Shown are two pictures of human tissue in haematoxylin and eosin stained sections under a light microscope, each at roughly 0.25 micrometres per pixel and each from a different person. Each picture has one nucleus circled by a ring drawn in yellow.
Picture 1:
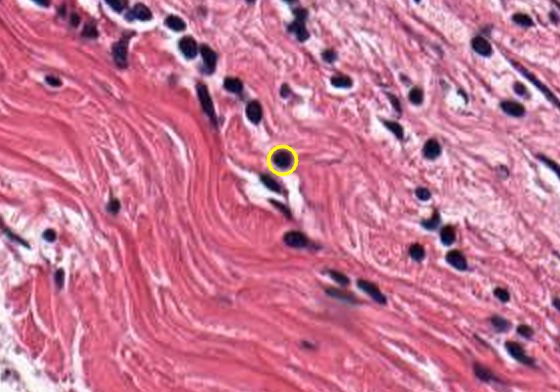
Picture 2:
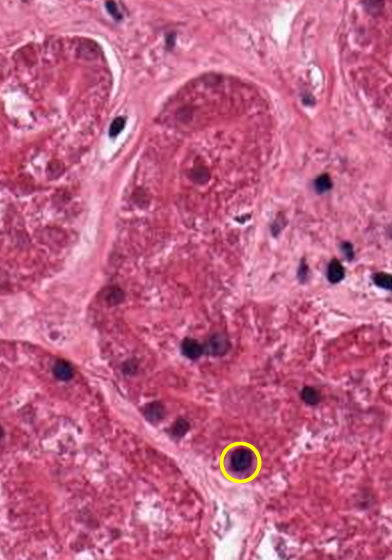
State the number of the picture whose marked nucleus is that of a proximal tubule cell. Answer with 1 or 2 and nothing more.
2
